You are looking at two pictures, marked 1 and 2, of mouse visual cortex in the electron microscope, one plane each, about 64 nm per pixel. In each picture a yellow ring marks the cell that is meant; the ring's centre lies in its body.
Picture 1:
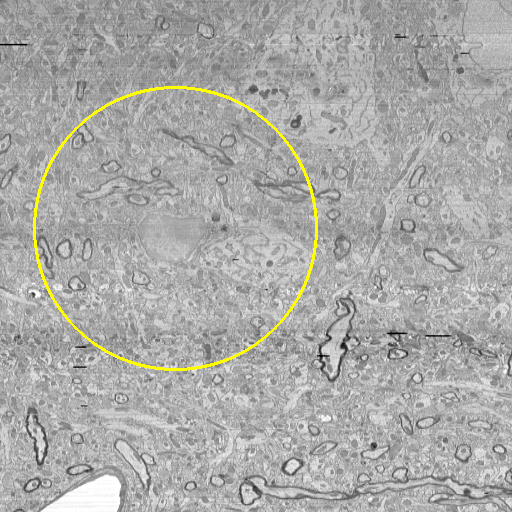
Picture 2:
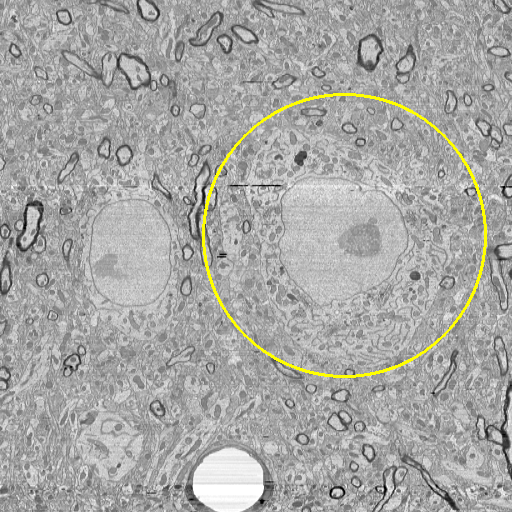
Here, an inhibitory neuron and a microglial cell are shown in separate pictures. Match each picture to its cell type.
Picture 2 shows an inhibitory neuron, while picture 1 shows a microglial cell.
